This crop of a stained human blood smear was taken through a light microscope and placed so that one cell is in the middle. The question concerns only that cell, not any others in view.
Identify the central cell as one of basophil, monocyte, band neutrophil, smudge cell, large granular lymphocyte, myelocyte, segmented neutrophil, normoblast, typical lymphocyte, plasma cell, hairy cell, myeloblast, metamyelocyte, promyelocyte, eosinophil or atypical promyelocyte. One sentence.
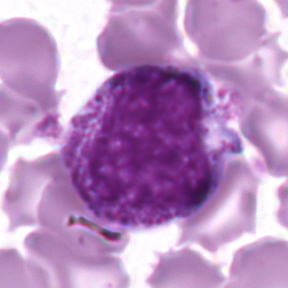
The cell centred in this crop is categorized as a myelocyte.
